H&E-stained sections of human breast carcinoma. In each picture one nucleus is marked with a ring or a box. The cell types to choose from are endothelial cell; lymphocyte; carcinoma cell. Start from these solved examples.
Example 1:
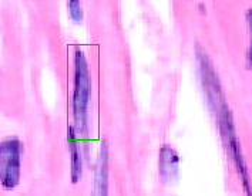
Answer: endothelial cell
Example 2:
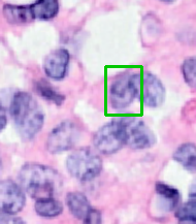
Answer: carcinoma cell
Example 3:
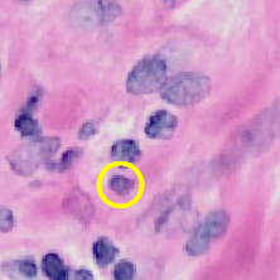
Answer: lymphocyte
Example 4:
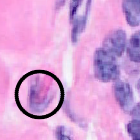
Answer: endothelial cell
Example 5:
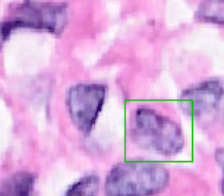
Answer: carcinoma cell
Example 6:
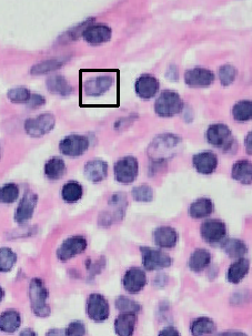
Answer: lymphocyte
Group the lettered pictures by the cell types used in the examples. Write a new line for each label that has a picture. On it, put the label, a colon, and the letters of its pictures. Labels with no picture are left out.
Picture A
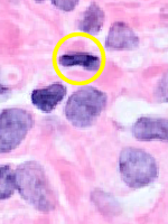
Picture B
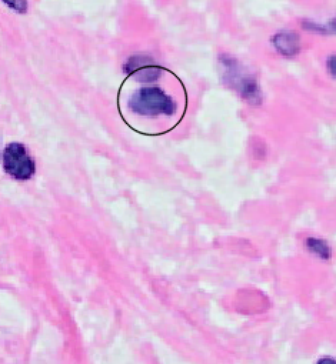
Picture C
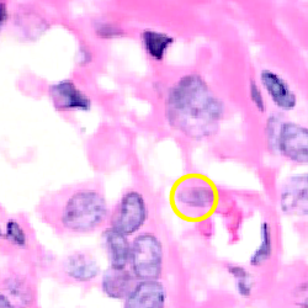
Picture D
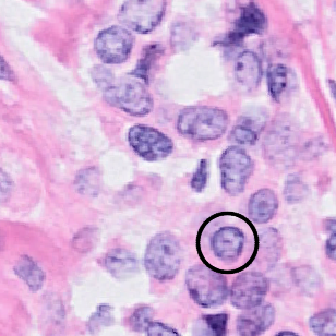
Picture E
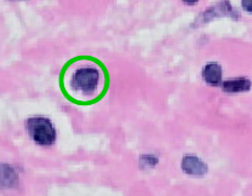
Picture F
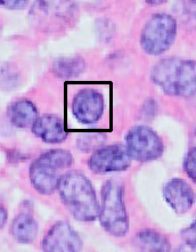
endothelial cell: C
lymphocyte: A, B, E
carcinoma cell: D, F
